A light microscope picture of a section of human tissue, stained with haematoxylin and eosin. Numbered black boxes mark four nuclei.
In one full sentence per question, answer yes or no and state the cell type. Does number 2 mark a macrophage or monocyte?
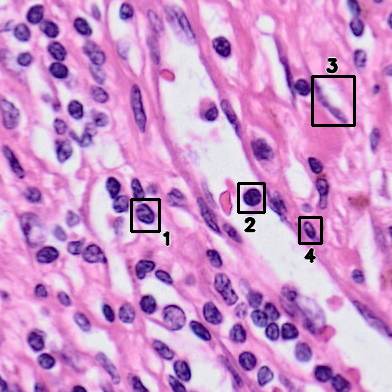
No, what number 2 shows is a lymphocyte, not a macrophage or monocyte.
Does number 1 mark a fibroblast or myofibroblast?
No, the cell marked 1 is a lymphocyte rather than a fibroblast or myofibroblast.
